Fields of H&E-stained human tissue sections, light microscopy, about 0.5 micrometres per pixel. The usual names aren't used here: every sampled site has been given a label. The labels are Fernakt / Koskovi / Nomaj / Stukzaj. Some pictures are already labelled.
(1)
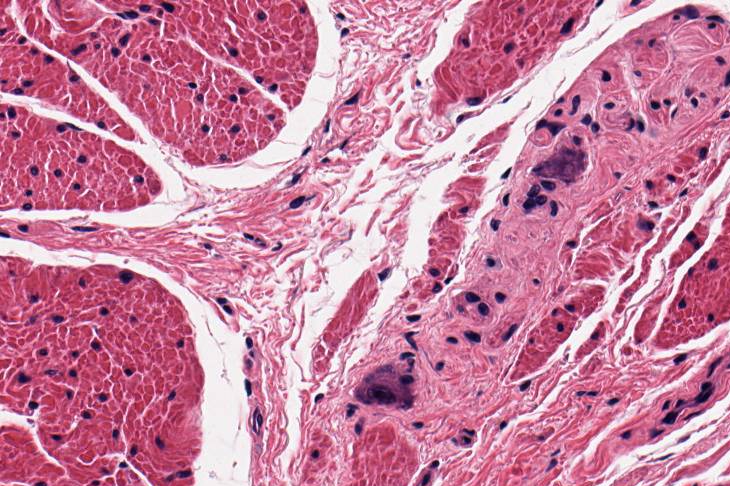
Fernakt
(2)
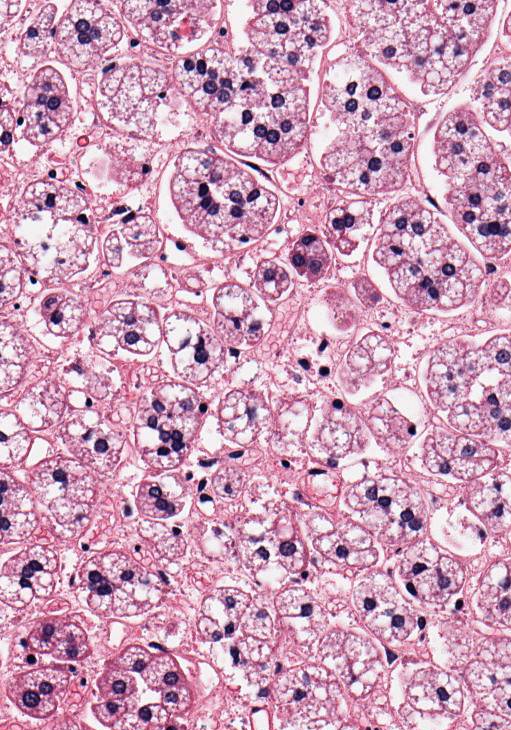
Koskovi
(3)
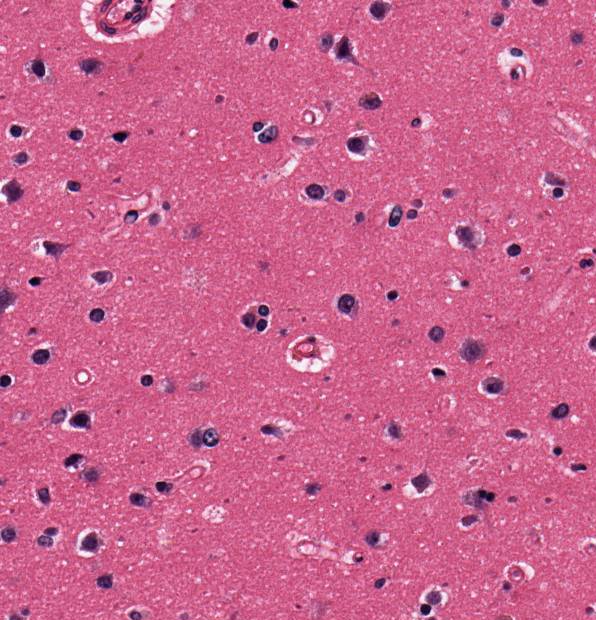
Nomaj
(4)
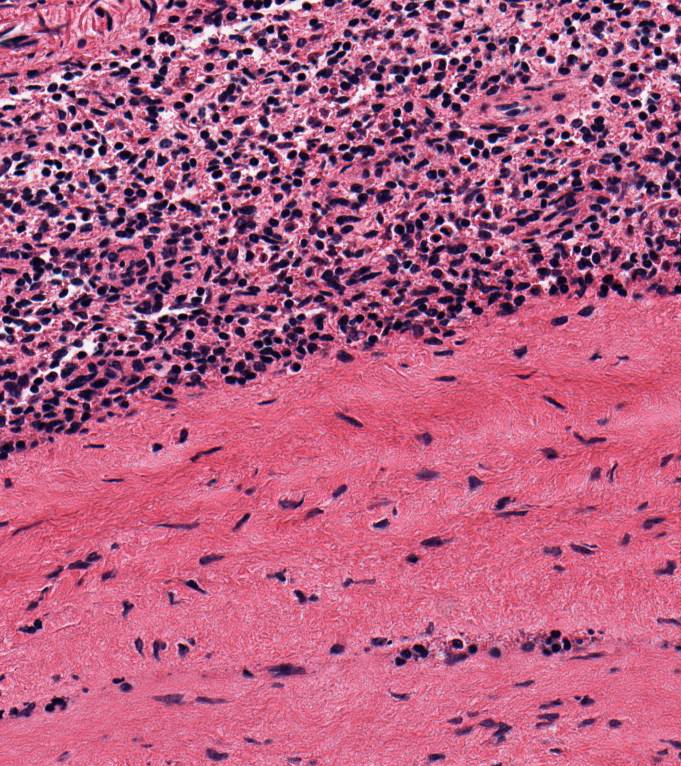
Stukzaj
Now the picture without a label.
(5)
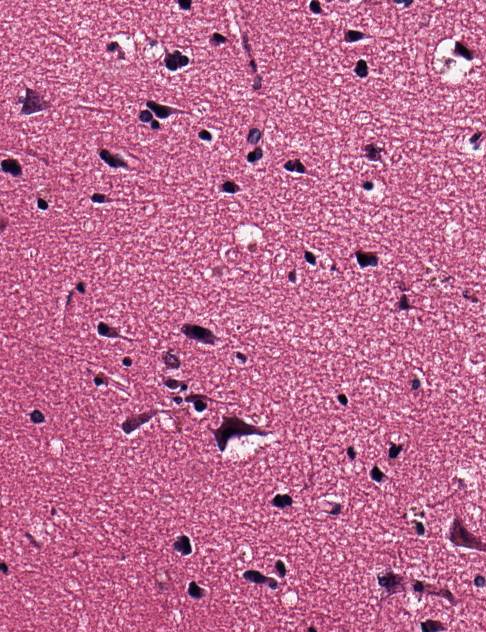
Nomaj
